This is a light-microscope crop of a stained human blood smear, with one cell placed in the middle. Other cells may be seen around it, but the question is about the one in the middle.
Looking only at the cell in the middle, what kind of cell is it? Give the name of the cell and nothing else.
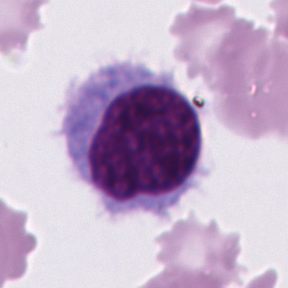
hairy cell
